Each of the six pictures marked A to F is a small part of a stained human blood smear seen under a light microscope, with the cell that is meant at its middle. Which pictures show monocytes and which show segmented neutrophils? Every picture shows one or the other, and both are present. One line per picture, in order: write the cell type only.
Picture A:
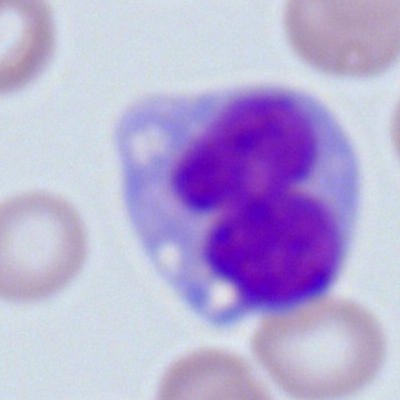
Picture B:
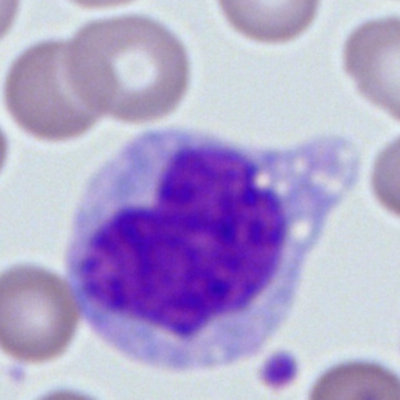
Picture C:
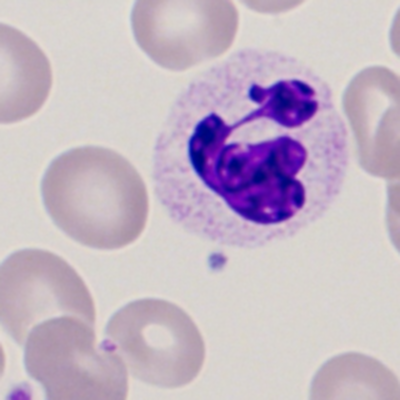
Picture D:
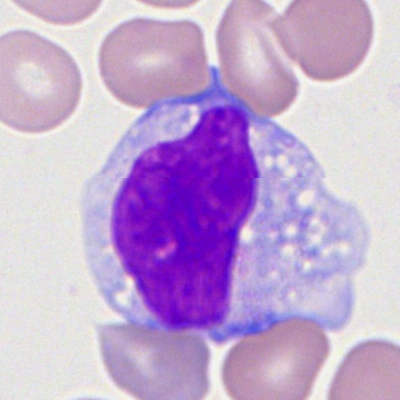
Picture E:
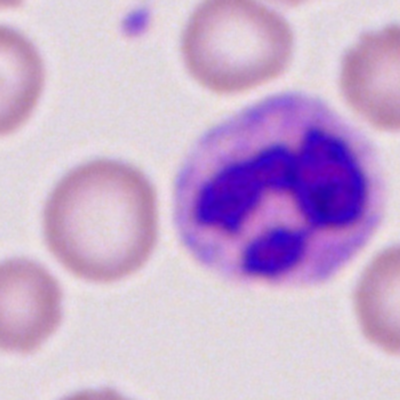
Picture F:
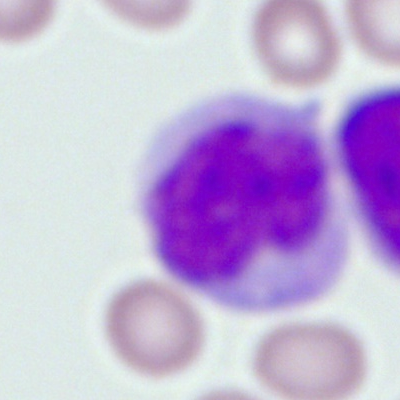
monocyte
monocyte
segmented neutrophil
monocyte
segmented neutrophil
monocyte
